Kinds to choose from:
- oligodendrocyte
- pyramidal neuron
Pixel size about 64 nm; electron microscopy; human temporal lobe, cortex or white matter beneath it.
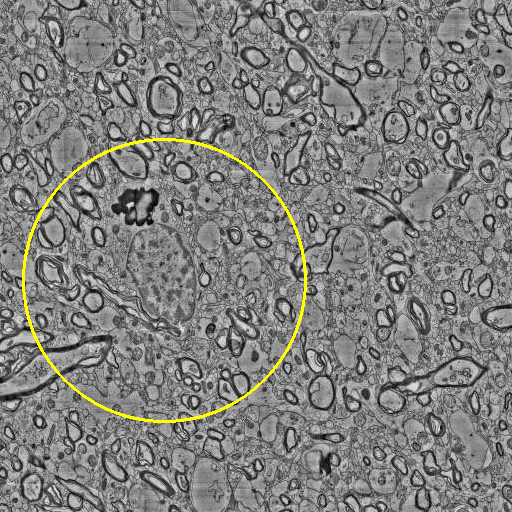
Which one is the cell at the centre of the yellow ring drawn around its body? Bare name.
oligodendrocyte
